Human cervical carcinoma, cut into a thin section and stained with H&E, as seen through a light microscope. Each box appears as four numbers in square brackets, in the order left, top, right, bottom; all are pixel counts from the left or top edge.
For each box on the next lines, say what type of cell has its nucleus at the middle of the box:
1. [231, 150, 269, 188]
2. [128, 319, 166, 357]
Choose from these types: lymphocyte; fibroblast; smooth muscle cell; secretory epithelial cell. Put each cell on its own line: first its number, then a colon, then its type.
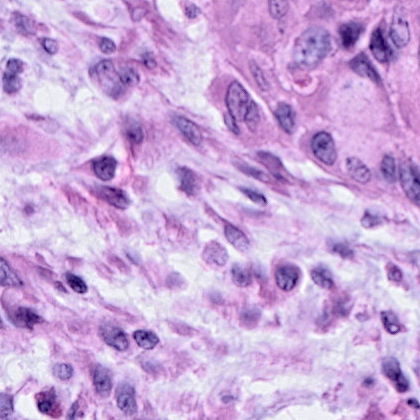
1: fibroblast
2: lymphocyte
